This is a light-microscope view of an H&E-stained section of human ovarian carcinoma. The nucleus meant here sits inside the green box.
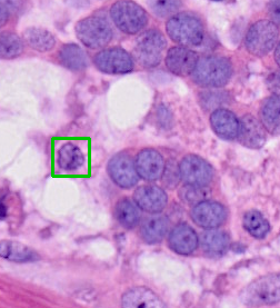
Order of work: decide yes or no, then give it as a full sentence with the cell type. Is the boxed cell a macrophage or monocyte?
Yes, in this field of view, the boxed cell is a macrophage or monocyte.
